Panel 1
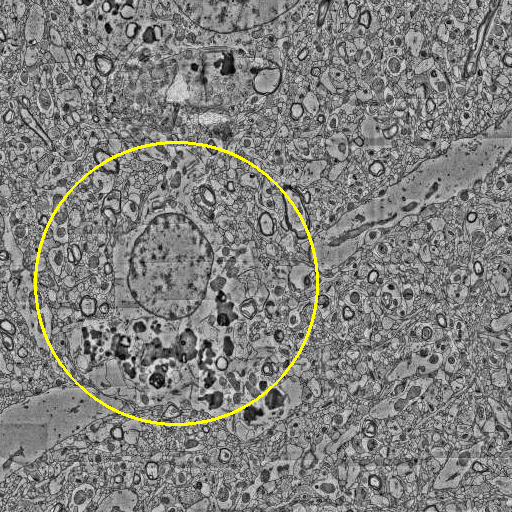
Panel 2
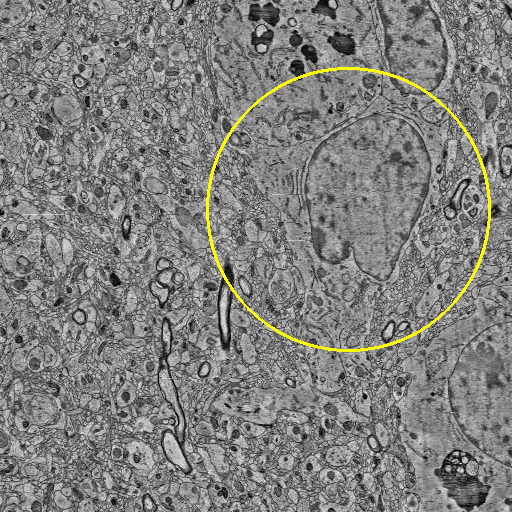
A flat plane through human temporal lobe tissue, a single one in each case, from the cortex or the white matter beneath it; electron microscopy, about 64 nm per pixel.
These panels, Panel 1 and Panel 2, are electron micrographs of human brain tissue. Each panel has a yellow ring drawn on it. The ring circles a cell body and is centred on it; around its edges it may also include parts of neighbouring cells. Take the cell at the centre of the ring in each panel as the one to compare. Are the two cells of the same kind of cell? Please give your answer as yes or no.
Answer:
no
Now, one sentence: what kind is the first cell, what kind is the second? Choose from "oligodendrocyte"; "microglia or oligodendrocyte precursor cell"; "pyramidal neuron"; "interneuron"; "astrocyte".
The first picture has an astrocyte at its ring centre, and the second has a microglial cell or oligodendrocyte precursor cell.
